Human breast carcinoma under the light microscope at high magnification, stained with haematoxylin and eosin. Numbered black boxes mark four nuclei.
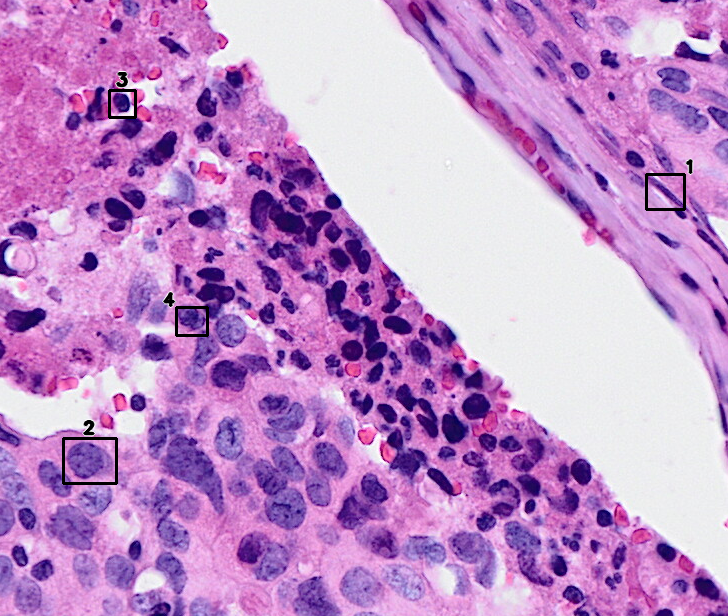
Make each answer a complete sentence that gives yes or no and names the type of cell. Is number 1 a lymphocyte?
No, number 1 does not mark a lymphocyte; it marks a fibroblast.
